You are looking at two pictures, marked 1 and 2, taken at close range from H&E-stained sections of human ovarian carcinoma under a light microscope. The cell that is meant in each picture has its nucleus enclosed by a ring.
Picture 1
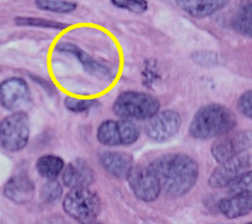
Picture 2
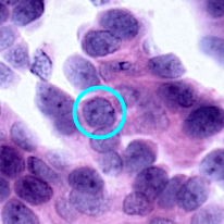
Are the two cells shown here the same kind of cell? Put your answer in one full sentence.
No, picture 1 shows a fibroblast and picture 2 shows a carcinoma cell.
